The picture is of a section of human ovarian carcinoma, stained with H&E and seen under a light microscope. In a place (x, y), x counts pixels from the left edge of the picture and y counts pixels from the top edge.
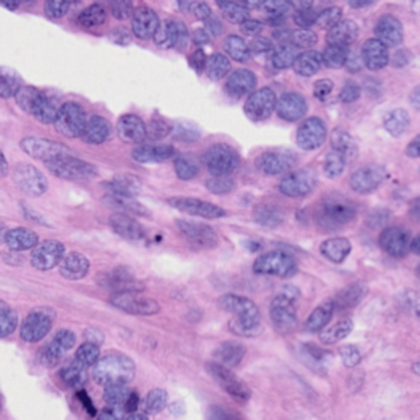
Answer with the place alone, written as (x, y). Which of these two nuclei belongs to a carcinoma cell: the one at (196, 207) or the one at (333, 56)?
(333, 56)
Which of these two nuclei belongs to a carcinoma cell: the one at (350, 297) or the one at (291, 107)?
(291, 107)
